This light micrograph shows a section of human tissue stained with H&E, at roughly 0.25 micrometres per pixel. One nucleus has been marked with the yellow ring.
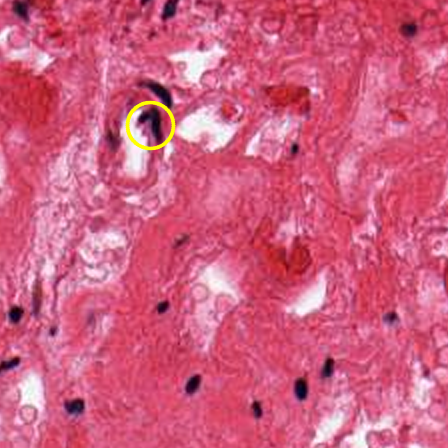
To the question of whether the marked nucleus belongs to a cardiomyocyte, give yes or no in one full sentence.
No, as for the marked nucleus, it belongs to a supporting cell and not to a cardiomyocyte.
